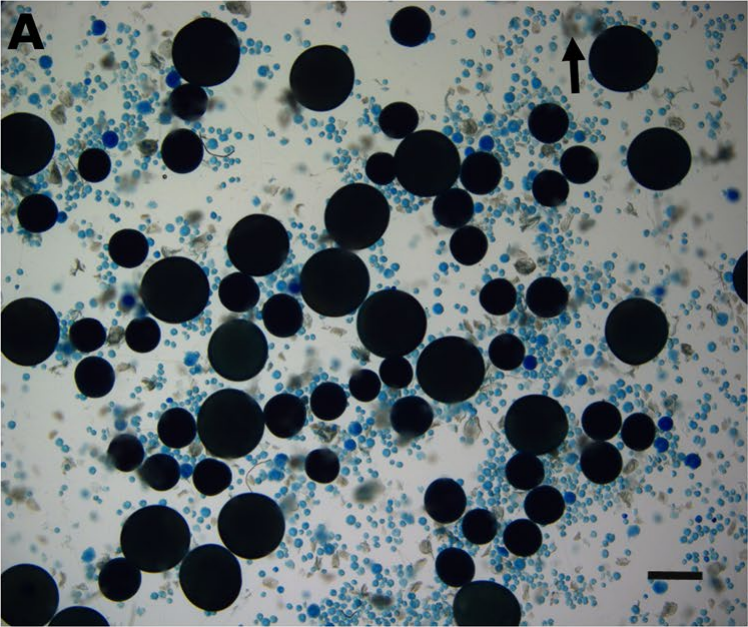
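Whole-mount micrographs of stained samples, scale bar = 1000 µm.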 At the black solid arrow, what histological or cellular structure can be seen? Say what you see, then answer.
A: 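The arrow points at a pale, irregular, greyish fragment that is not round. The fragment lacks the spherical shape and dense stain of the surrounding oocytes.
Conclusion: ovarian debris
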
